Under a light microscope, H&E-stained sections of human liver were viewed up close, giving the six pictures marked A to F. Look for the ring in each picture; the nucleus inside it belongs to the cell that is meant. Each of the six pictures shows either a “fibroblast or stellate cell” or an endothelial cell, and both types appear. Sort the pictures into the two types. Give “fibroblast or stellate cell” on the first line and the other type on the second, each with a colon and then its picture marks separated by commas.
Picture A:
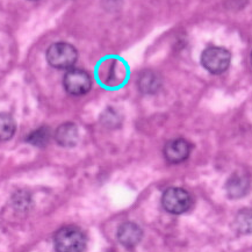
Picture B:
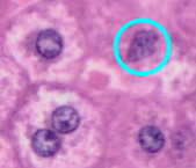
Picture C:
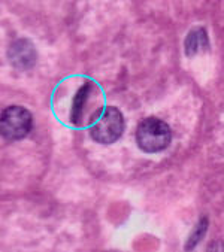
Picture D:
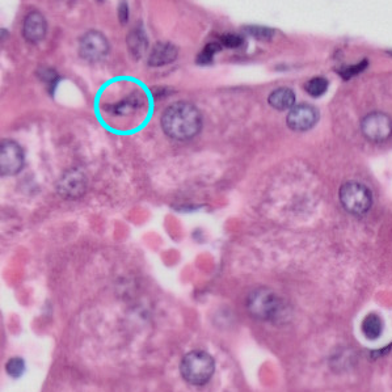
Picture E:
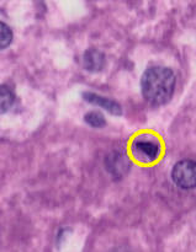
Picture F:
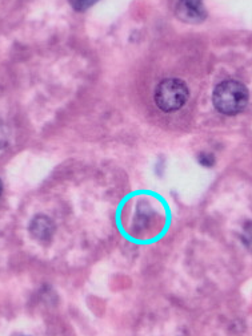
fibroblast or stellate cell: A, B, D, E
endothelial cell: C, F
